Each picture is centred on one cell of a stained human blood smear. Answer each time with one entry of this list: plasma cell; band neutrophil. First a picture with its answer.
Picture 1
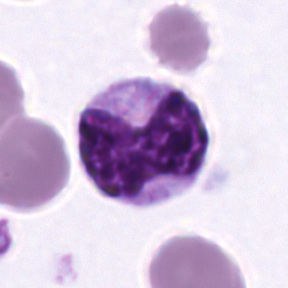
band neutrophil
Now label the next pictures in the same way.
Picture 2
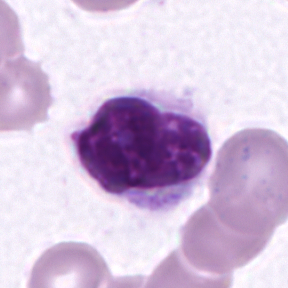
plasma cell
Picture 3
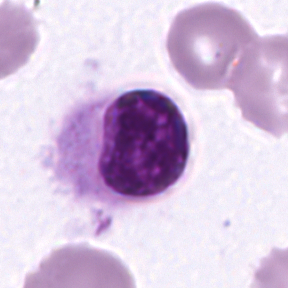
plasma cell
